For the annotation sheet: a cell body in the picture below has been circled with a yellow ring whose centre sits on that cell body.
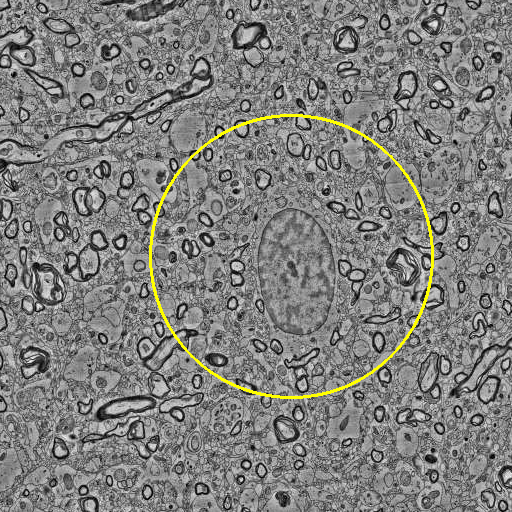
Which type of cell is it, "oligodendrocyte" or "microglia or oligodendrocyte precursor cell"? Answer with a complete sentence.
The circled cell is an oligodendrocyte.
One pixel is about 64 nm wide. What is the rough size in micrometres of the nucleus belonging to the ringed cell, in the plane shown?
In this plane the nucleus is clearly longer than it is wide, at approximately 8 by 5 micrometres.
